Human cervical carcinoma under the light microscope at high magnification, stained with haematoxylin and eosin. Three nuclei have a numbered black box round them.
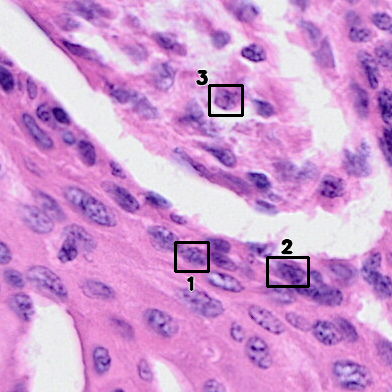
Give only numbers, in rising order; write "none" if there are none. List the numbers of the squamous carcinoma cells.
1, 2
